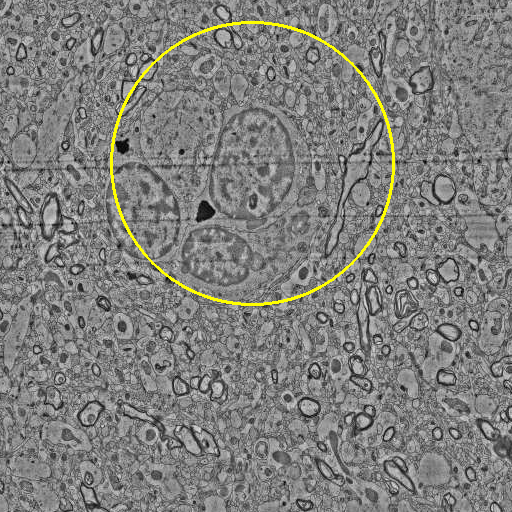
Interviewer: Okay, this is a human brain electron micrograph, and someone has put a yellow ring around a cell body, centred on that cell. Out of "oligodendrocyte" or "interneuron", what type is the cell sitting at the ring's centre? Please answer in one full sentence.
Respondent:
The cell at the centre of the yellow ring in this picture is an oligodendrocyte.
